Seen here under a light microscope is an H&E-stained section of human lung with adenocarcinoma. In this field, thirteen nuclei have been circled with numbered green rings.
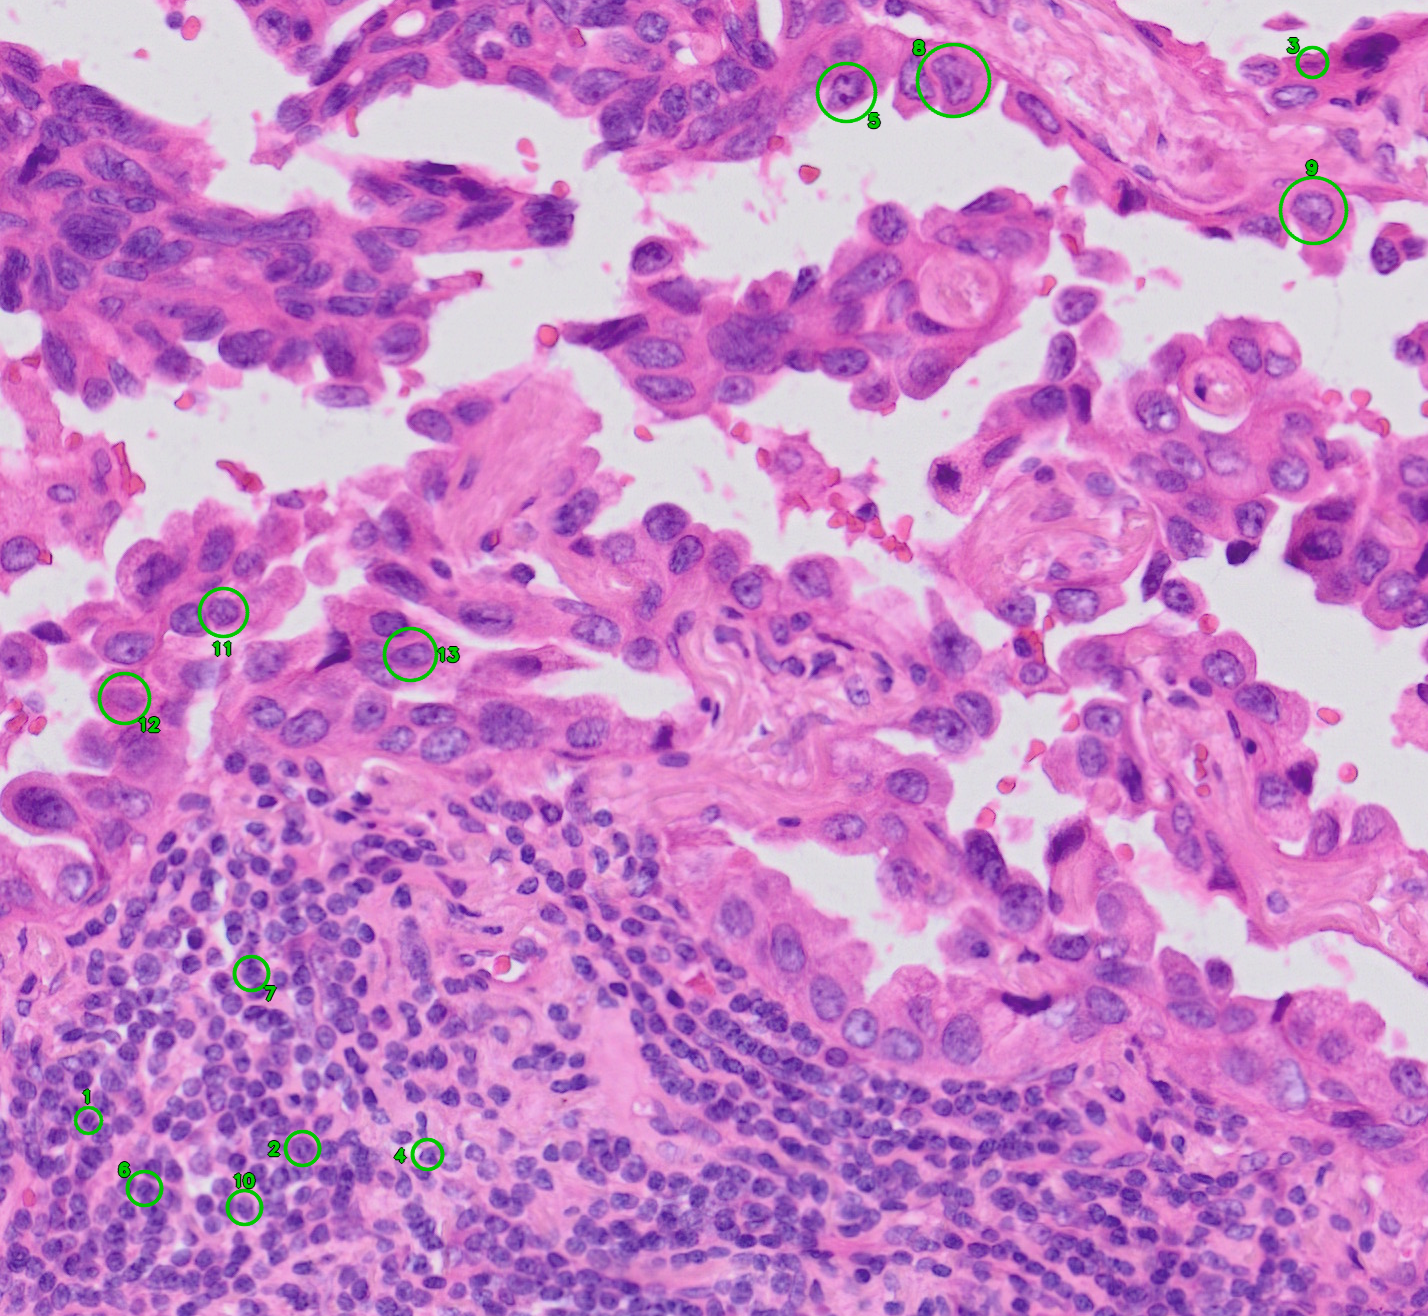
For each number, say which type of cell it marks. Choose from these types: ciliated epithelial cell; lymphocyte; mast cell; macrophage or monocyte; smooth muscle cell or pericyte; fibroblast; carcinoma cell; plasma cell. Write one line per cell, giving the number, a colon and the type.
1: lymphocyte
2: lymphocyte
3: carcinoma cell
4: lymphocyte
5: carcinoma cell
6: lymphocyte
7: lymphocyte
8: carcinoma cell
9: carcinoma cell
10: lymphocyte
11: carcinoma cell
12: carcinoma cell
13: carcinoma cell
